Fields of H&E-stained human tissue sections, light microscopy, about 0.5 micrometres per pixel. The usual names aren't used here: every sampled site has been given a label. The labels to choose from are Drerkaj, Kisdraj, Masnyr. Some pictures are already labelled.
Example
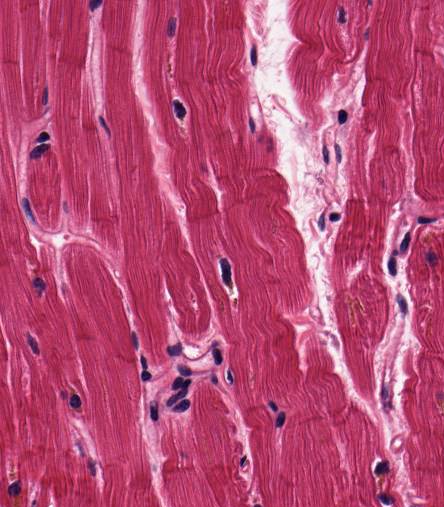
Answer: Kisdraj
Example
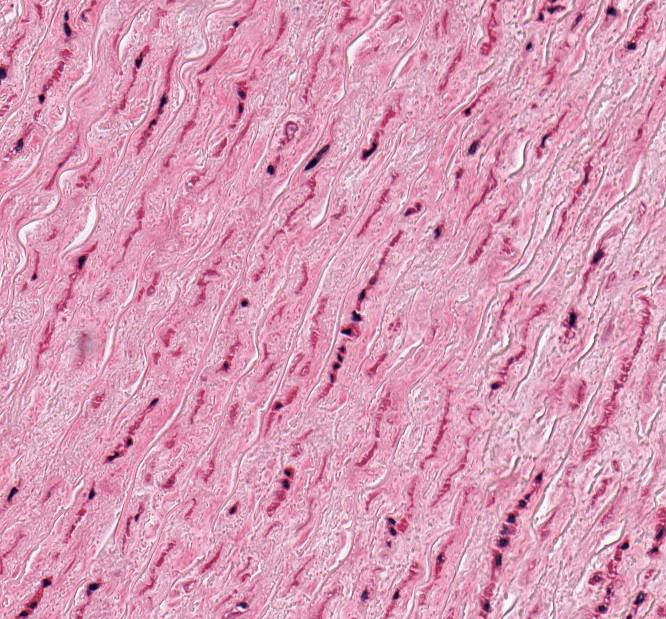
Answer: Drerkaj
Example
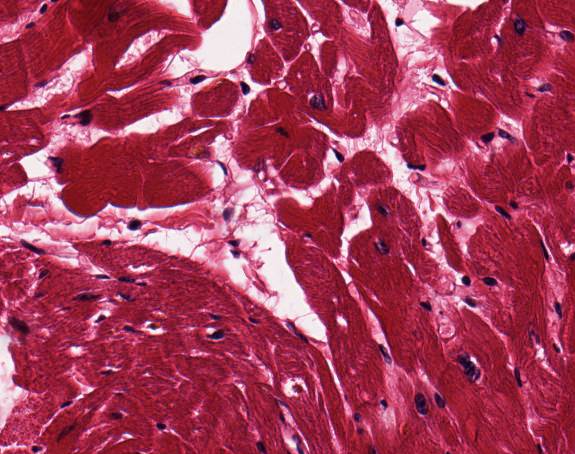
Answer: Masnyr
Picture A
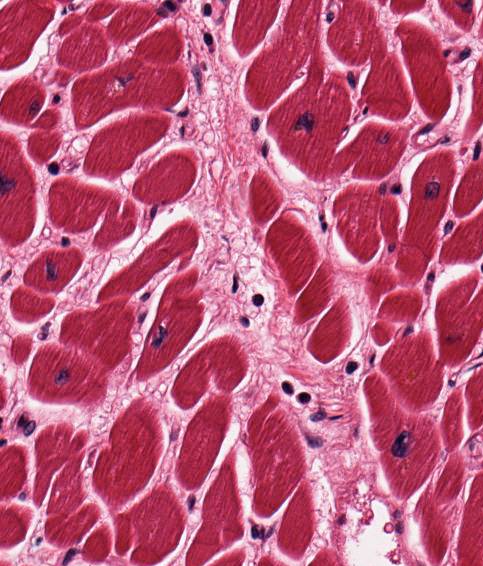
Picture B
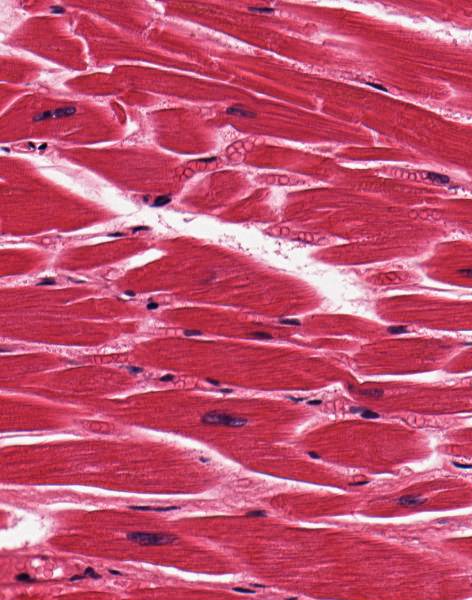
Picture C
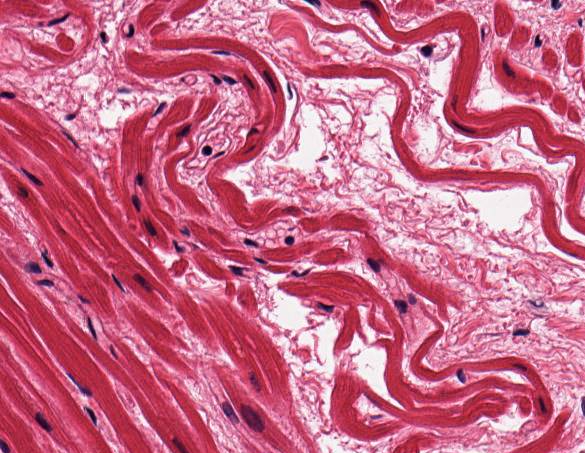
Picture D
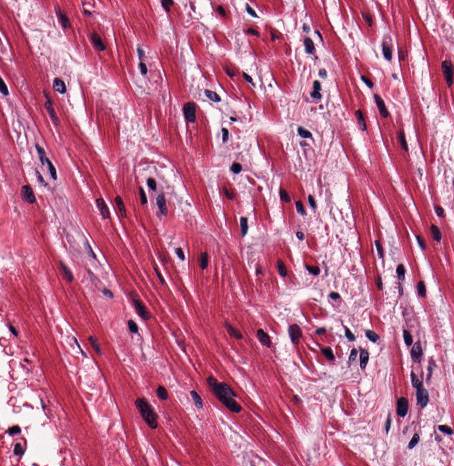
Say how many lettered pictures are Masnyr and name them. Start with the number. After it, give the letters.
Count: 2 (A, B)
